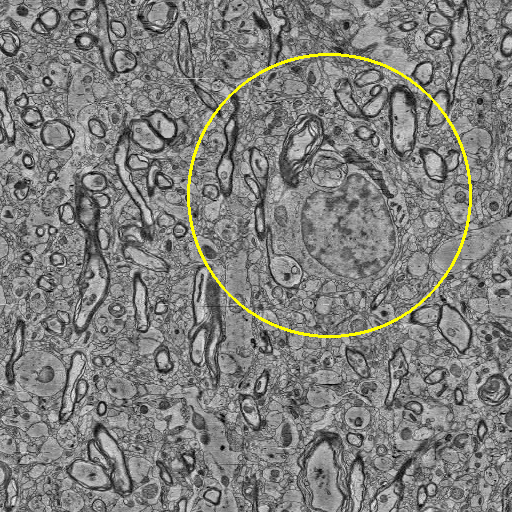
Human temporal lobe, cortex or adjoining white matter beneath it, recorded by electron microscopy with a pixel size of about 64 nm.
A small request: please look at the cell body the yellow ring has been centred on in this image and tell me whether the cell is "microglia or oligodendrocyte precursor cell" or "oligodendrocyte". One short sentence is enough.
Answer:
The cell marked by the ring is an oligodendrocyte.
